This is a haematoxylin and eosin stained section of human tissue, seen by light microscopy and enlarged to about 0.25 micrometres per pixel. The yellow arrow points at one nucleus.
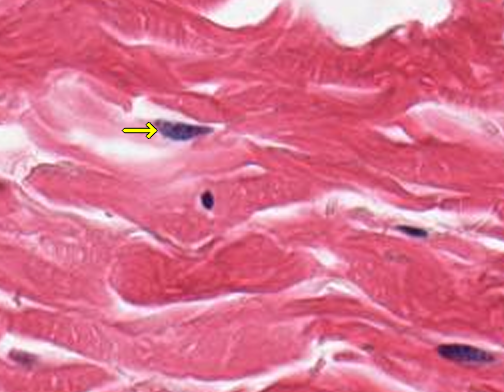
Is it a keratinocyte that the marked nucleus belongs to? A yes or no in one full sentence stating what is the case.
No, the marked nucleus, which belongs to a supporting cell, is not part of a keratinocyte.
